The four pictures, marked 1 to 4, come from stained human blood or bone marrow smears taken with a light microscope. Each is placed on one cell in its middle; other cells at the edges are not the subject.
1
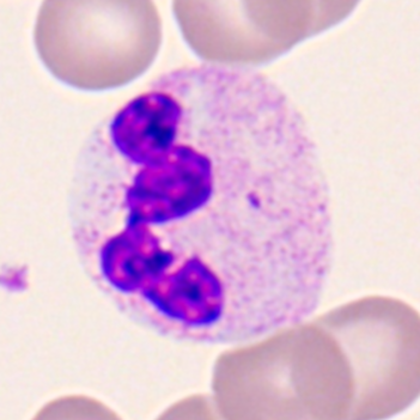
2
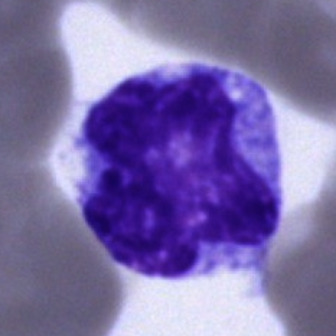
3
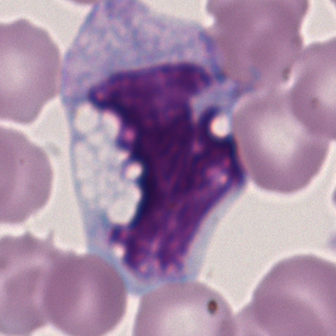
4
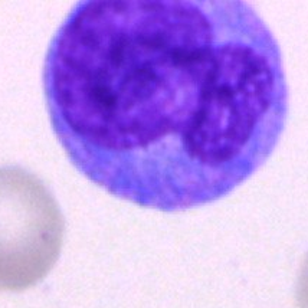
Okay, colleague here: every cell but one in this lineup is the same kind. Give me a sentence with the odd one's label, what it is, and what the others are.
With the other crops all showing monocytes, crop 1 differs by showing a segmented neutrophil.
